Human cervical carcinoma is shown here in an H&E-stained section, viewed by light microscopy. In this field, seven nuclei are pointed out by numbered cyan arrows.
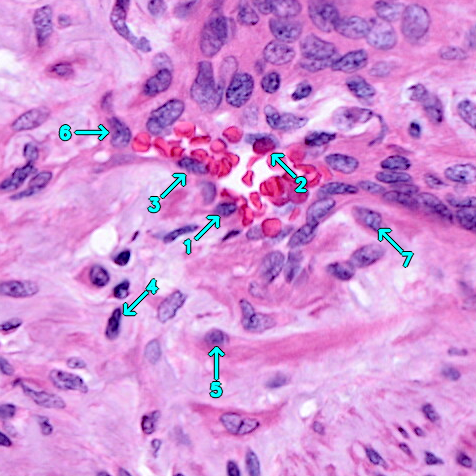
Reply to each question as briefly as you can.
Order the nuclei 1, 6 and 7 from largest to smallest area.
6, 7, 1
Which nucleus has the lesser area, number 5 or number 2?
5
